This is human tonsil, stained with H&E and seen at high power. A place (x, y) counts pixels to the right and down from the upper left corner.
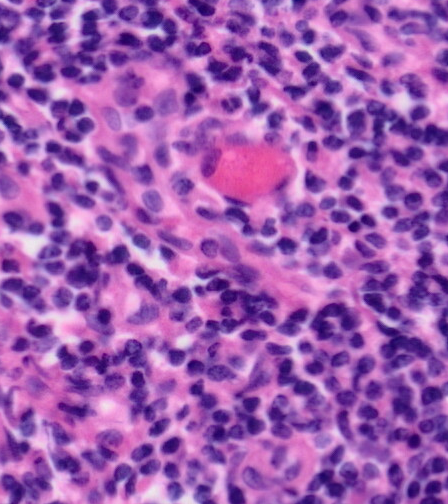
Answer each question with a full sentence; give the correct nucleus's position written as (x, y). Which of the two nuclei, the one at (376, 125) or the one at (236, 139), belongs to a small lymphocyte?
Here the nucleus at (376, 125) is the one that belongs to a small lymphocyte.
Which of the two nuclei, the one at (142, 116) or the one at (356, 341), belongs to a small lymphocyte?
It is the nucleus at (356, 341) that belongs to a small lymphocyte.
